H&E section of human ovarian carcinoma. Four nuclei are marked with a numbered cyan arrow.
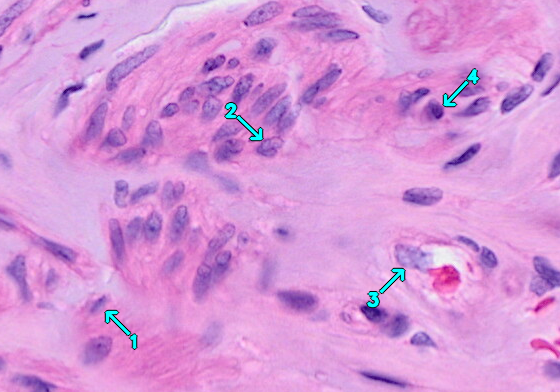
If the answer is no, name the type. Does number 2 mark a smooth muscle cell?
Yes.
